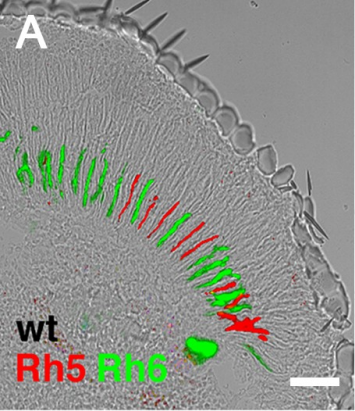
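This is a longitudinal section through the fly retina, showing the light-sensing rhabdomeres of the photoreceptor cells labelled in red or green. The labelled rhabdomeres are long, thin rods lying side by side in a curved band beneath the outer surface, where a row of lens facets with bristles is seen. Red and green rhabdomeres are intermixed along the band, with green ones more common. The surrounding tissue appears grey and unlabelled in the brightfield image.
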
